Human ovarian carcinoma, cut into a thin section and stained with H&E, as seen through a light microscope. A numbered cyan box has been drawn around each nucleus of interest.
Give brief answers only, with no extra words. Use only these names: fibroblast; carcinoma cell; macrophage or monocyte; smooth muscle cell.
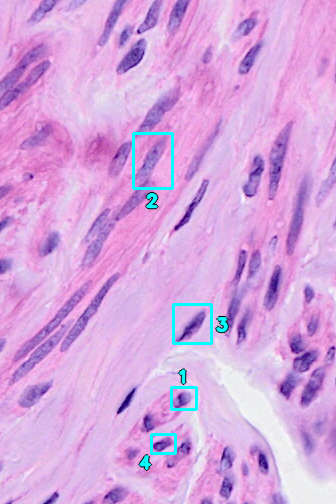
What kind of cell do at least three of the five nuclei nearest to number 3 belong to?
smooth muscle cell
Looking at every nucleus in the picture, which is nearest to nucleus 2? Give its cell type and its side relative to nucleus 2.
a smooth muscle cell; to the left of nucleus 2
